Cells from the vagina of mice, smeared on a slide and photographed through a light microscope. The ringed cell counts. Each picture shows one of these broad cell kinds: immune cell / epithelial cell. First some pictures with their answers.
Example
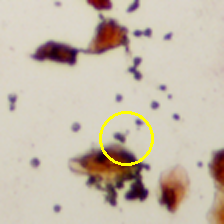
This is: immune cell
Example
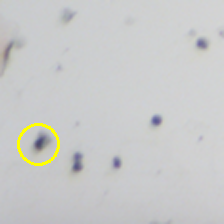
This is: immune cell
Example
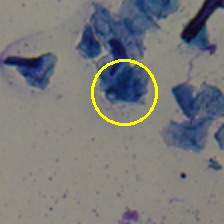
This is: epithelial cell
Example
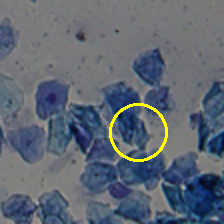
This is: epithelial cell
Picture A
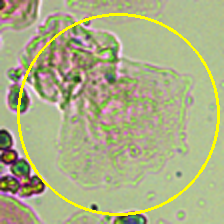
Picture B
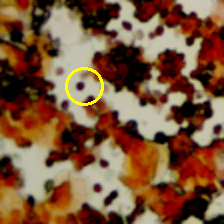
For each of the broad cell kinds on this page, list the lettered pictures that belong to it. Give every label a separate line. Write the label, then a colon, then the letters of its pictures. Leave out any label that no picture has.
immune cell: B
epithelial cell: A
